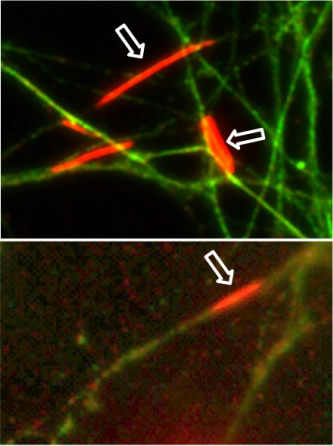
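Thin neurites of cultured neurons run across the field, carrying green label with a beaded, dotted appearance. Straight, elongated red rods lie alongside or across the neurites, one of them thicker and spindle-shaped. The green label is not concentrated on the red rods, which stay distinctly red.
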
